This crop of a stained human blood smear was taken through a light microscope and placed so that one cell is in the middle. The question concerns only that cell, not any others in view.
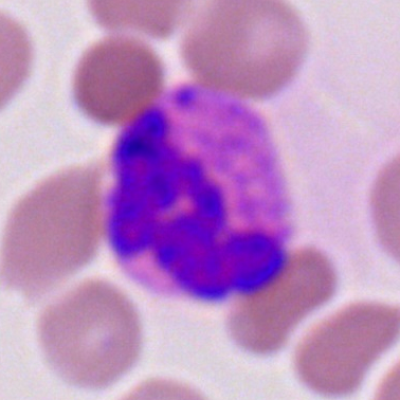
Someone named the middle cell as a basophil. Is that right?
yes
